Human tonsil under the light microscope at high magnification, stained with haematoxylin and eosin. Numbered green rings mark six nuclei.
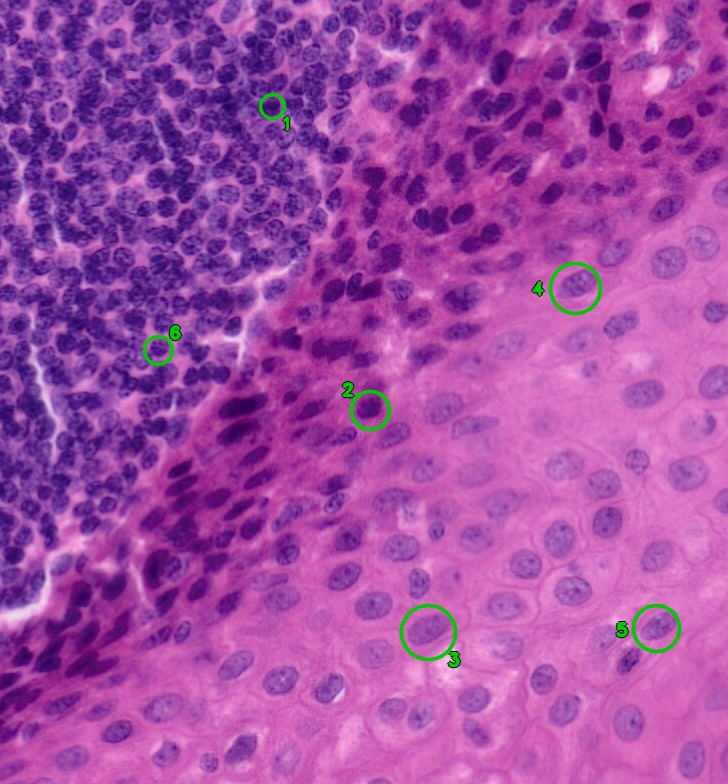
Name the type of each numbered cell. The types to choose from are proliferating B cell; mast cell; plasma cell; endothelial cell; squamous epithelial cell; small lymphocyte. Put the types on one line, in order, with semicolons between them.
small lymphocyte; squamous epithelial cell; squamous epithelial cell; squamous epithelial cell; squamous epithelial cell; small lymphocyte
